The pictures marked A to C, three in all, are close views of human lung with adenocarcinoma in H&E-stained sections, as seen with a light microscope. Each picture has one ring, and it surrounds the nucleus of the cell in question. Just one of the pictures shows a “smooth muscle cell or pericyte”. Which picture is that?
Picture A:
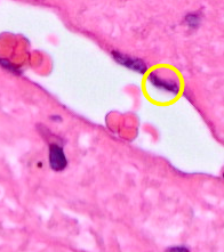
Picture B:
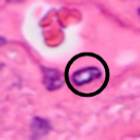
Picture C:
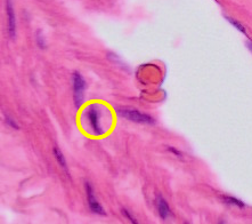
C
